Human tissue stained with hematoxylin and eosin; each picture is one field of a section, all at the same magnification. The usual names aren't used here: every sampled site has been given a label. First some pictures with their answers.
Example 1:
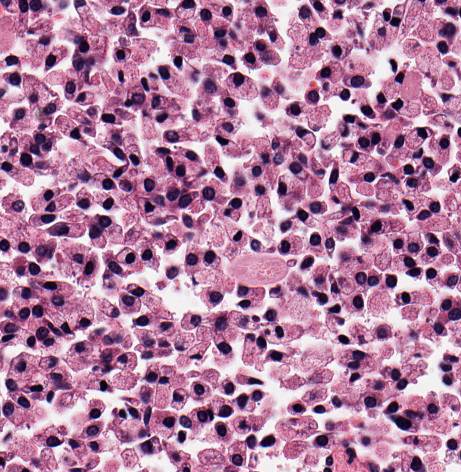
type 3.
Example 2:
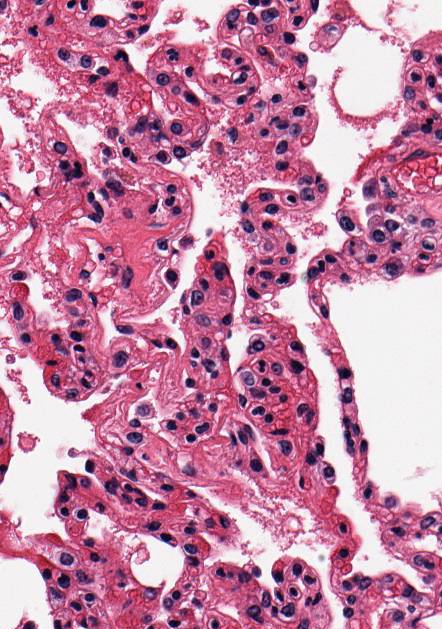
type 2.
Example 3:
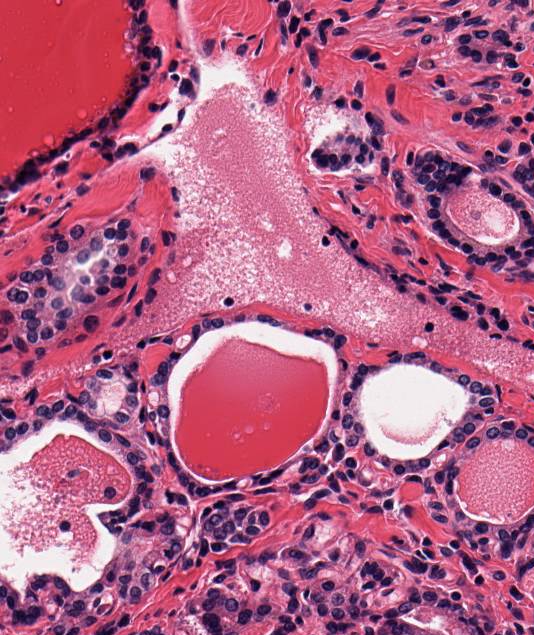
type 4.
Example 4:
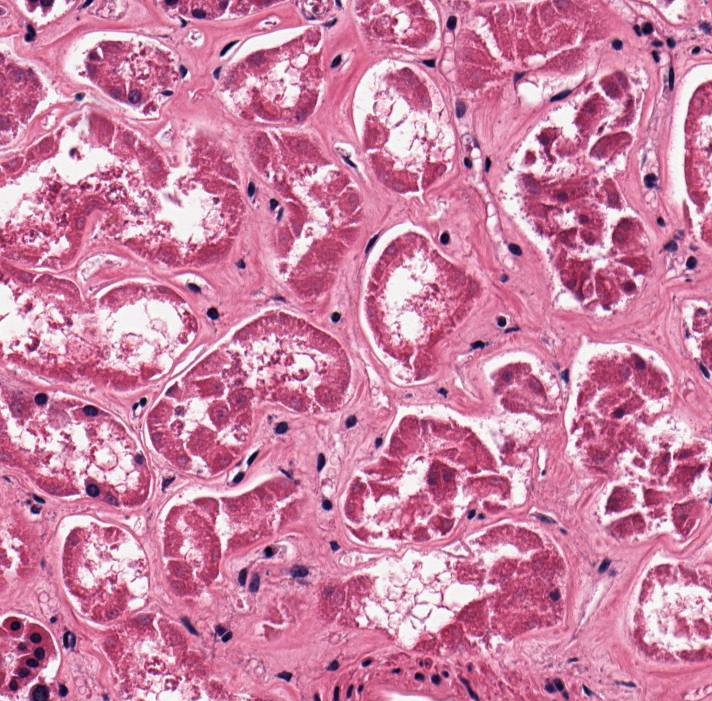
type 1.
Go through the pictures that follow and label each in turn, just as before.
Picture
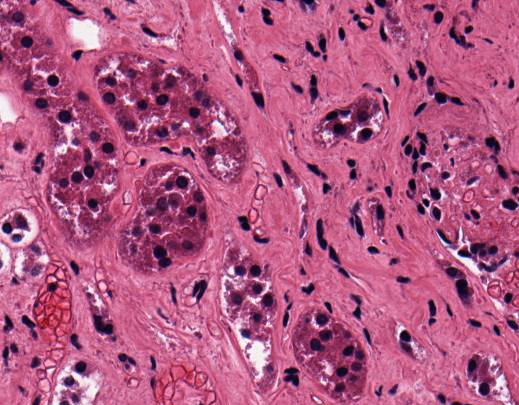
type 1.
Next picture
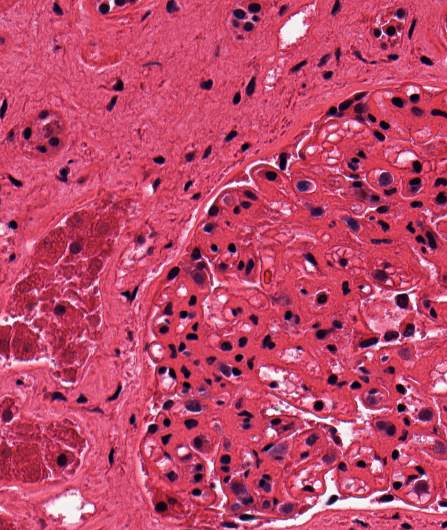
type 1.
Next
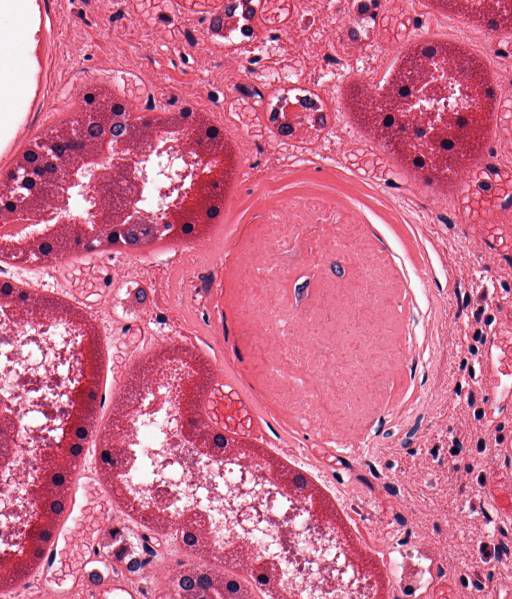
type 1.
